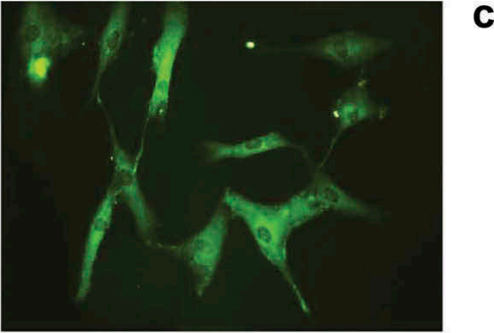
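Scattered spindle-shaped and triangular cells with thin tapering processes, some reaching toward neighbouring cells, each with a darker oval nucleus set in green cytoplasm. The green is densest in the cytoplasm hugging the nucleus and fades toward the processes.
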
